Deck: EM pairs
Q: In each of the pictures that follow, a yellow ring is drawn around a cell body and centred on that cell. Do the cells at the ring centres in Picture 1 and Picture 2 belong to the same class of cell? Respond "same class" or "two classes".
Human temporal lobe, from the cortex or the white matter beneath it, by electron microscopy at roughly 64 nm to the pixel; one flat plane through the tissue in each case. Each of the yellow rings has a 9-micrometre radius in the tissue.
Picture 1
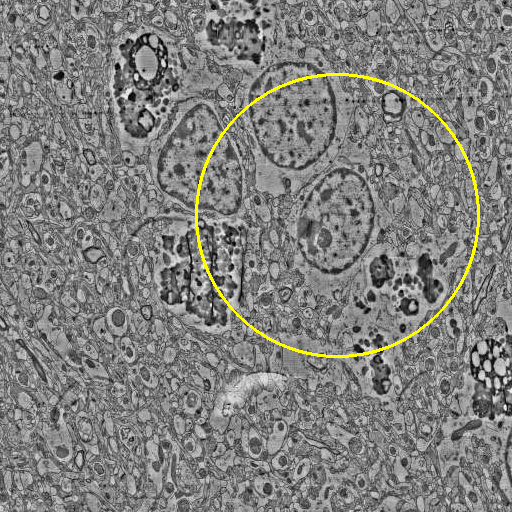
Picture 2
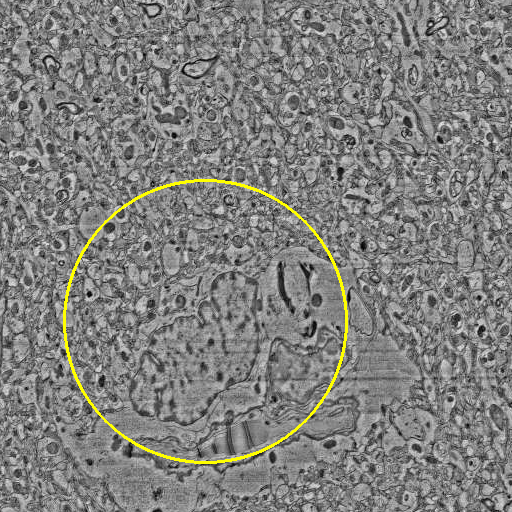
two classes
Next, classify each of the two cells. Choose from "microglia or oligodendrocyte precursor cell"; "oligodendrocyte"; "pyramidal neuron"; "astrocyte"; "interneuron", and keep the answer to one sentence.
In the first picture it is an astrocyte; in the second it is a microglial cell or oligodendrocyte precursor cell.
